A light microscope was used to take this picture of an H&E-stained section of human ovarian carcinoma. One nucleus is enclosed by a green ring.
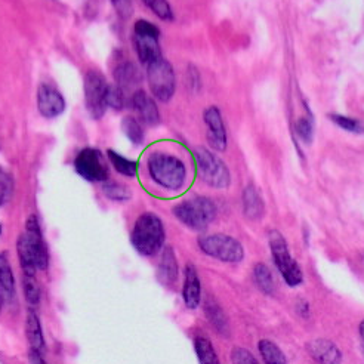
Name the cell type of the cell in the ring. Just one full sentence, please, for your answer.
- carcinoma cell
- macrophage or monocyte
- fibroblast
As classified here, the cell in the ring is a macrophage or monocyte.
